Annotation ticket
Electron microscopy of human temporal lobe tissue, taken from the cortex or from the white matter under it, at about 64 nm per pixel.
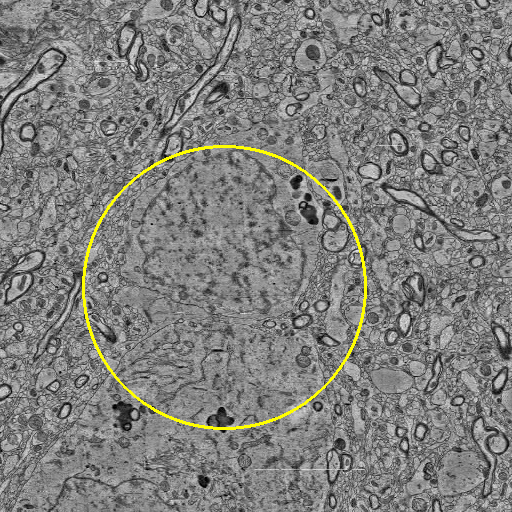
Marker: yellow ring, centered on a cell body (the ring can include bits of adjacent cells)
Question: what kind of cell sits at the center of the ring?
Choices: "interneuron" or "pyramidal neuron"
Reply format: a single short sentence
The ring is centered on an interneuron.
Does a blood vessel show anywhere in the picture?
No, none is visible.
